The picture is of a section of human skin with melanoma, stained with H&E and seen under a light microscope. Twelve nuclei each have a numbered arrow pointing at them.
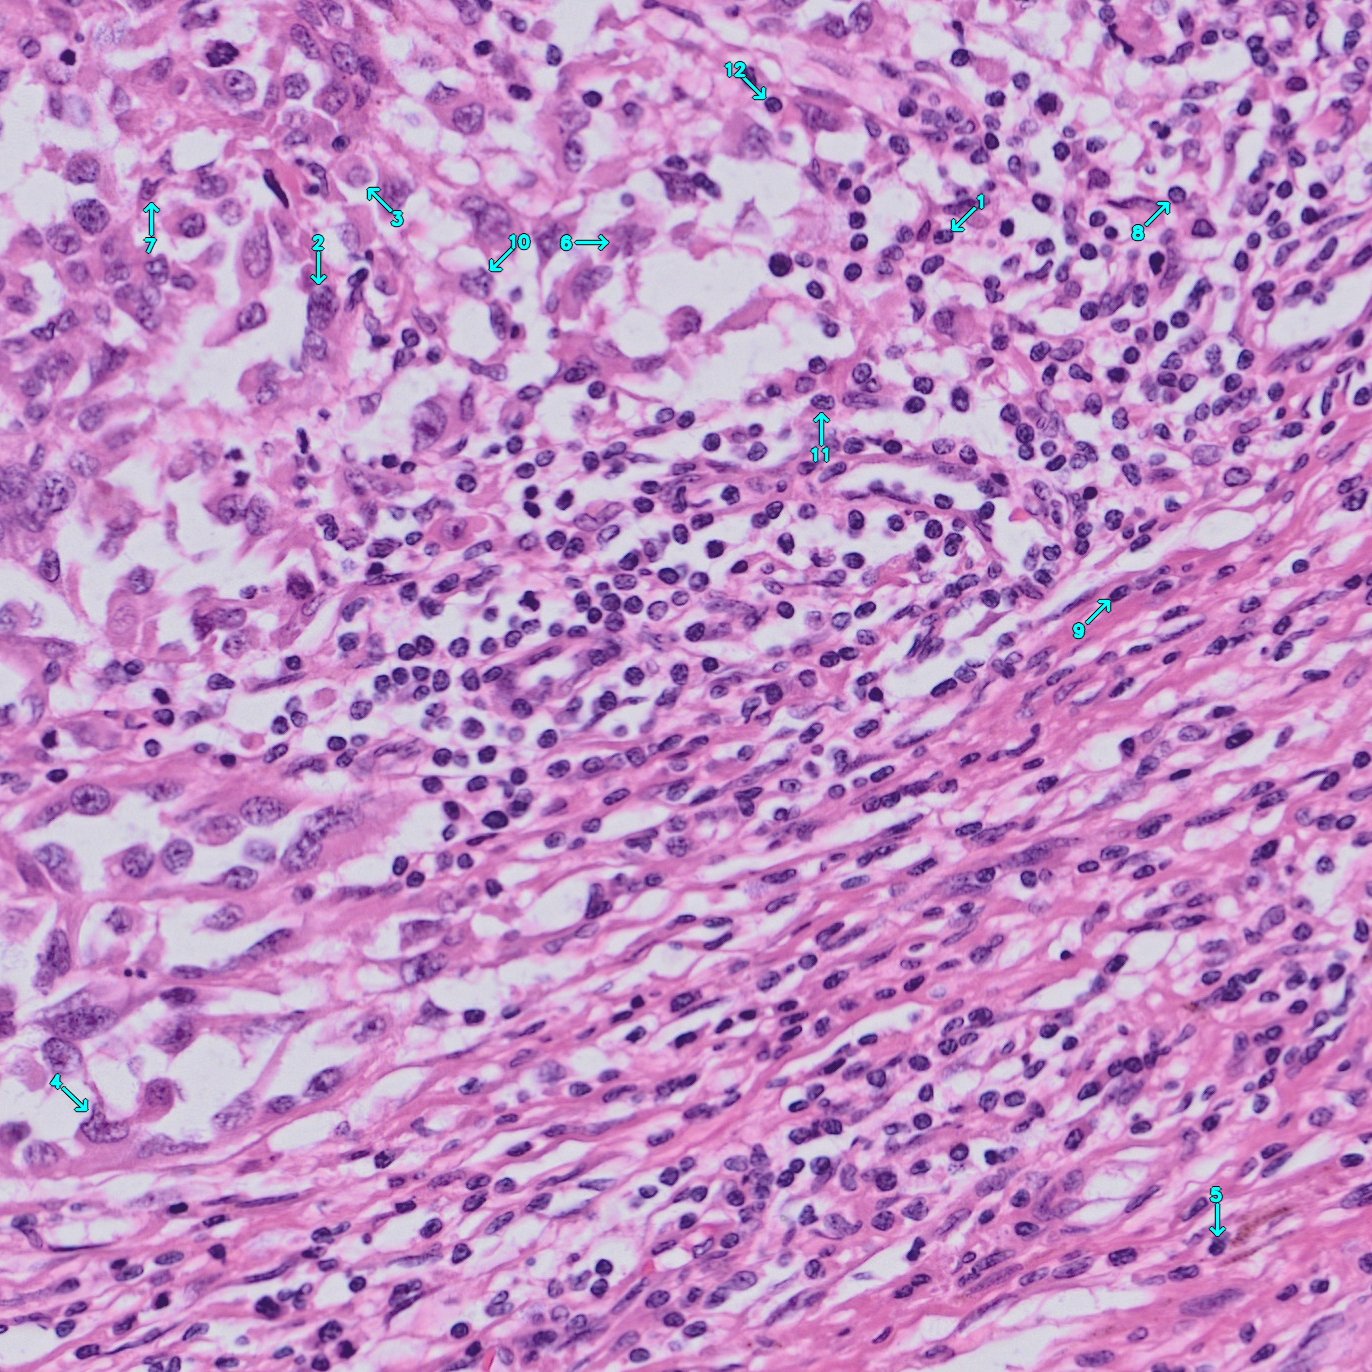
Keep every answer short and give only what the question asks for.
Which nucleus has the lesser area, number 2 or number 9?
9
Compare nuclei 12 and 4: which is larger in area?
4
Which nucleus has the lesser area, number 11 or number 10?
11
